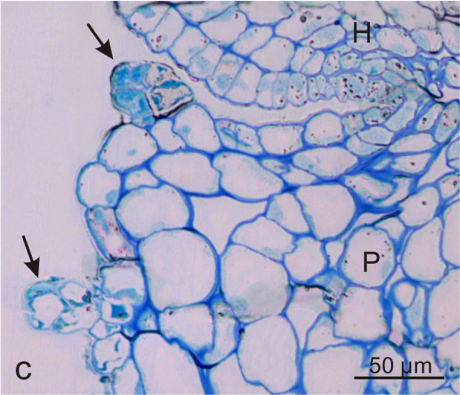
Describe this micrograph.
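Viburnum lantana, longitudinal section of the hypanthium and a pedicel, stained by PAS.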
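In the upper right, smaller cells lie in curved, ordered rows, several containing dark dots. Small multicellular glandular trichomes project from the outer surface on the left, one with dense blue-stained contents.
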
